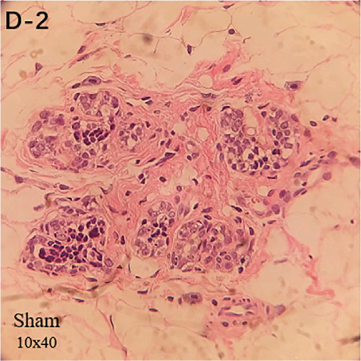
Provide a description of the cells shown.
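Small clusters of glandular units sit in a loose pink fibrous stroma, with empty rounded fat cells along the top. Each cluster is made of tightly packed epithelial cells with round, dark purple nuclei and scant pink cytoplasm, leaving little or no open lumen. Thin strands of connective tissue with elongated nuclei wrap around and between the clusters. These are small, quiet lobules of mammary gland alveoli lying in fatty and fibrous stroma.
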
